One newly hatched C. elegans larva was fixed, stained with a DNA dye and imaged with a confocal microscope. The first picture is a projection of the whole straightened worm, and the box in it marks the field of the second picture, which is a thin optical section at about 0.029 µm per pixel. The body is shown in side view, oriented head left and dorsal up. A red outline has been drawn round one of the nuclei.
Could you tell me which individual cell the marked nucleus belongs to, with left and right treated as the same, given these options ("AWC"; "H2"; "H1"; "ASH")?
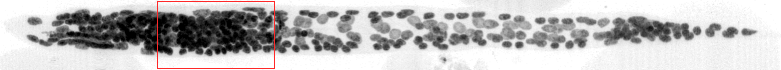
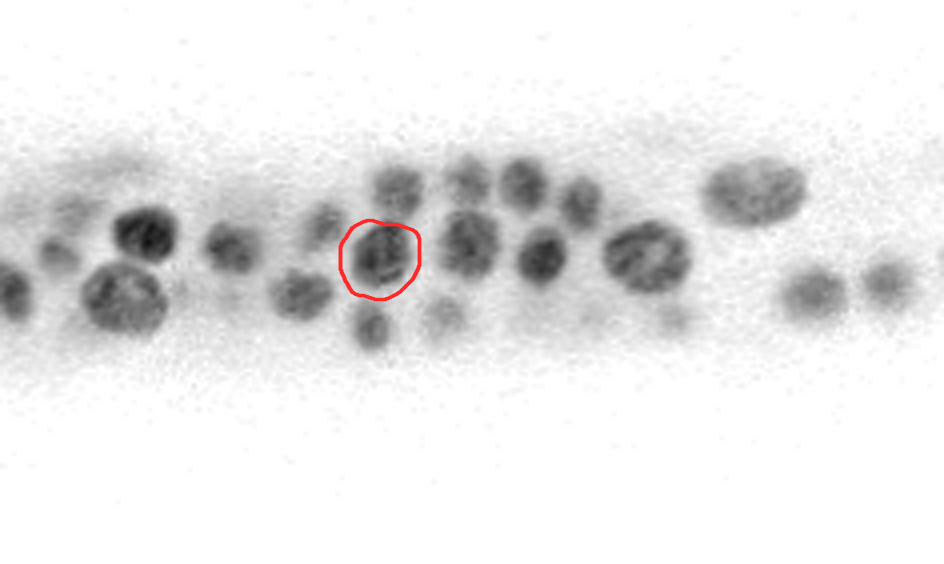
ASH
